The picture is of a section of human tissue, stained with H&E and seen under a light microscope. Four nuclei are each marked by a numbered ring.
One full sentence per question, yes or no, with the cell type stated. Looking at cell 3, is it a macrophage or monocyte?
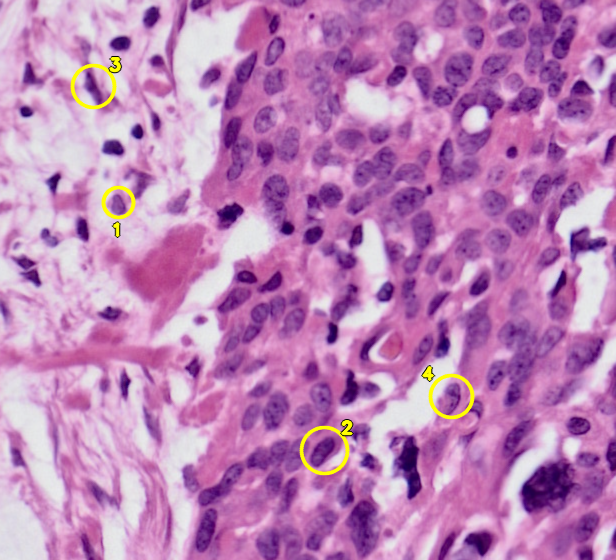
No, number 3 identifies a fibroblast, not a macrophage or monocyte.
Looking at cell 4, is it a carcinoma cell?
No, the cell bearing number 4 is not a carcinoma cell but a macrophage or monocyte.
